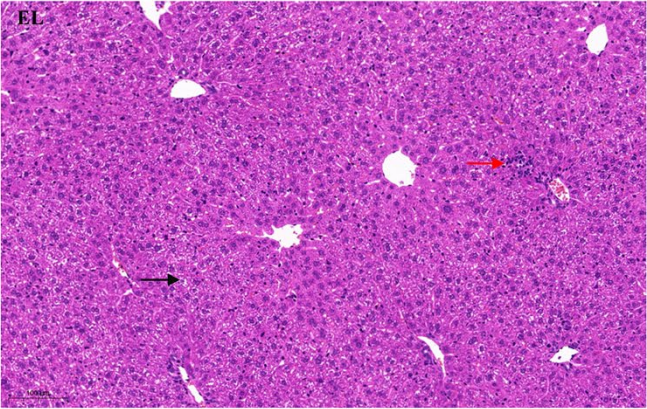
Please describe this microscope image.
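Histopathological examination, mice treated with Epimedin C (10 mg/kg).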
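Liver tissue shows plates of hepatocytes with pink cytoplasm and round purple nuclei. Several small, empty-looking vessel lumens are scattered across the field, and a few contain red blood cells. Beside one small vessel on the right, a small focus of tightly packed cells with dark, small nuclei stands out from the larger hepatocytes, an inflammatory cell infiltration. In places the hepatocytes have pale, finely cleared cytoplasm in place of an even pink, consistent with vacuolar degeneration. Overall, the lobular arrangement of liver tissue is kept.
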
